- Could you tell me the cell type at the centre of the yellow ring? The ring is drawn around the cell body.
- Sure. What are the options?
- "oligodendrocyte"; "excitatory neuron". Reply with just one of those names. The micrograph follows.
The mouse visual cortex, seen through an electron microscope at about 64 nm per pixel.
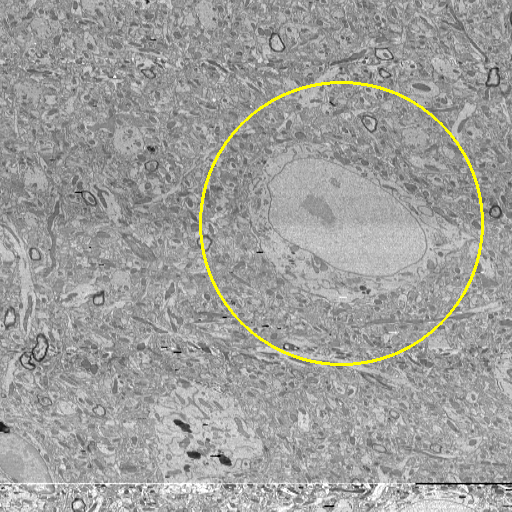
excitatory neuron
